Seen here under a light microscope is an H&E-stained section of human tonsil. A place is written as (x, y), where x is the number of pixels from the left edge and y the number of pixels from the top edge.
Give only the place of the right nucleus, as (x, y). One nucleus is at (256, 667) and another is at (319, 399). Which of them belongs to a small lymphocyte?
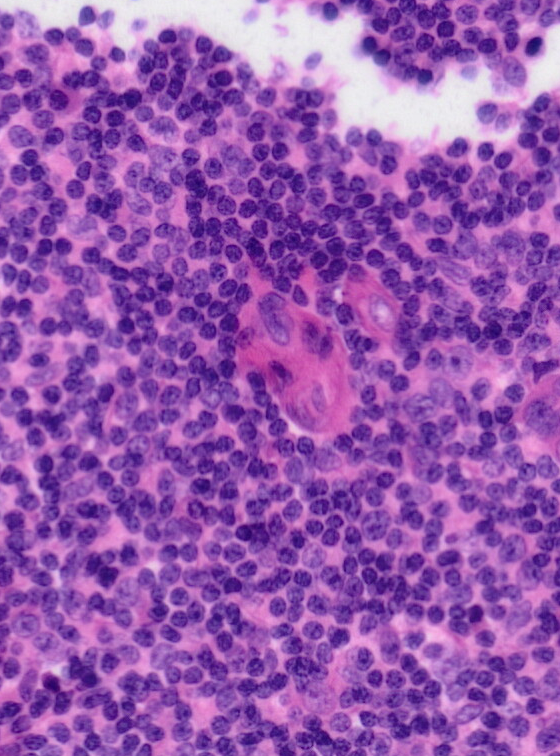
(256, 667)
